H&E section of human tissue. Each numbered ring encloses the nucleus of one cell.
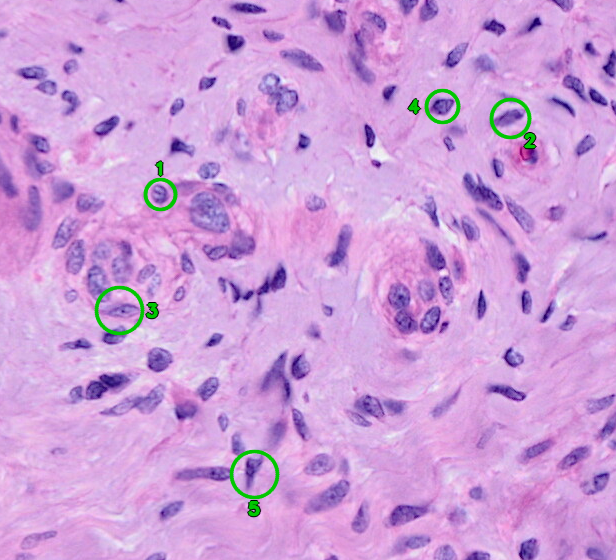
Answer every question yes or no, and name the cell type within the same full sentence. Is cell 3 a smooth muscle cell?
Yes, the numbered cell 3 is identified as a smooth muscle cell.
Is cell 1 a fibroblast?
No, the cell numbered 1 is a smooth muscle cell rather than a fibroblast.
